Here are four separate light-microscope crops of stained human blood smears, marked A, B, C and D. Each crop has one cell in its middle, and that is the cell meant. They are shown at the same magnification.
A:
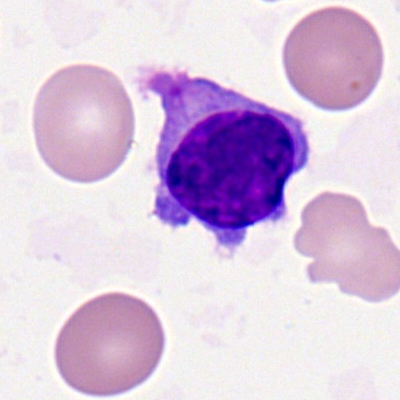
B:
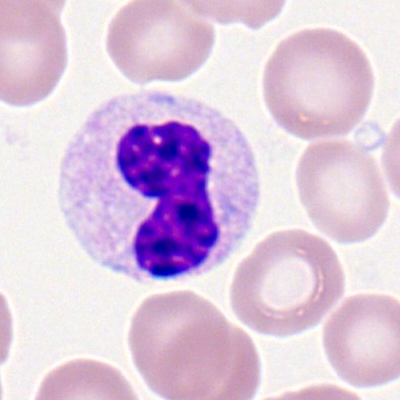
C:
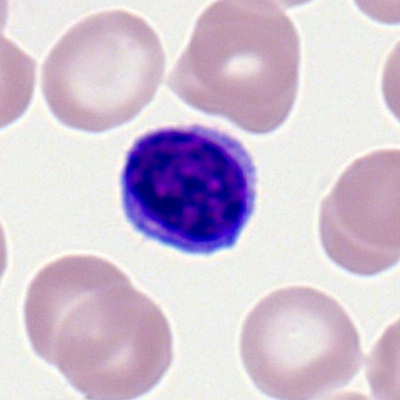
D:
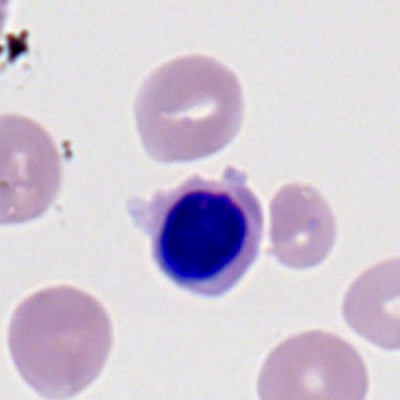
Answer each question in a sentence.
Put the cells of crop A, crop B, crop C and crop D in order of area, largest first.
Going down, they run B, A, C, D.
